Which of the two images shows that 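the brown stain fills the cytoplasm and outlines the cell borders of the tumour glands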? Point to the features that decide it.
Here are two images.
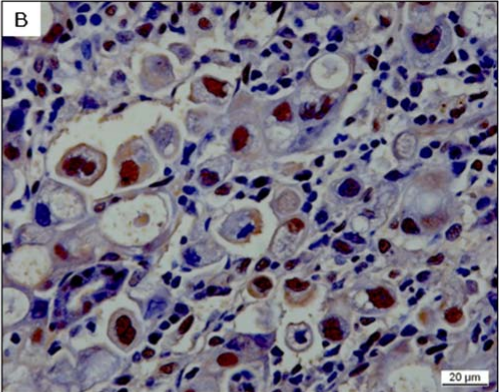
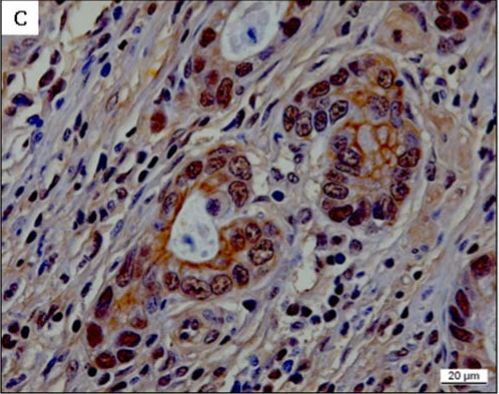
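Second image: tumour cells around gland lumens show brown cytoplasm and brown lines along cell borders. First image: brown stain is concentrated in the nuclei of large tumour cells, with little in their cytoplasm. That points to this answer: the second image.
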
